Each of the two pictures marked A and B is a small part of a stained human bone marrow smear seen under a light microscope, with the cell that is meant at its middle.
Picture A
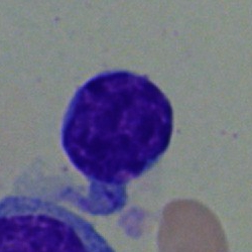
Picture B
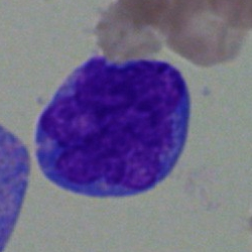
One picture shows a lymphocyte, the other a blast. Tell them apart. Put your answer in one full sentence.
It is picture A that shows a lymphocyte, and picture B that shows a blast.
